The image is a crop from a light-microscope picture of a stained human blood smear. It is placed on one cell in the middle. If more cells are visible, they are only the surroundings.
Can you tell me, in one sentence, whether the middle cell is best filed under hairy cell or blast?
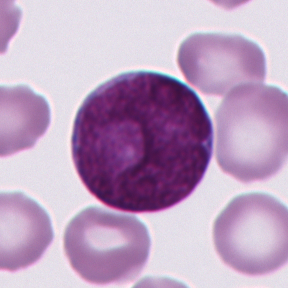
The cell the crop is centered on is a blast.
